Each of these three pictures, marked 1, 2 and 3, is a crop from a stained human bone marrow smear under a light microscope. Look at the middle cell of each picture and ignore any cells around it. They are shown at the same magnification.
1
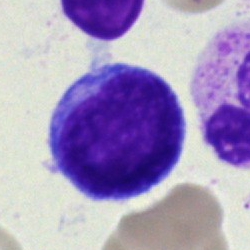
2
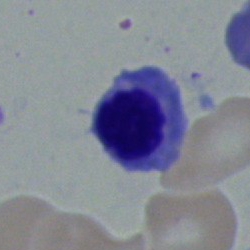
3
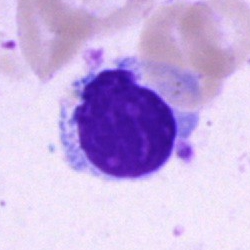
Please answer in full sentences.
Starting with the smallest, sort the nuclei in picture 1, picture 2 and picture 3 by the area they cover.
From the smallest up, the order is 2, 3, 1.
